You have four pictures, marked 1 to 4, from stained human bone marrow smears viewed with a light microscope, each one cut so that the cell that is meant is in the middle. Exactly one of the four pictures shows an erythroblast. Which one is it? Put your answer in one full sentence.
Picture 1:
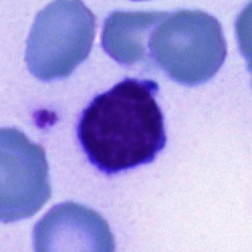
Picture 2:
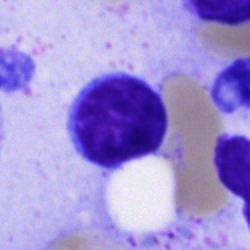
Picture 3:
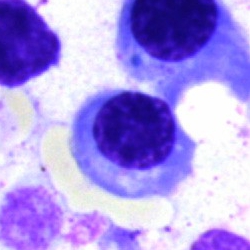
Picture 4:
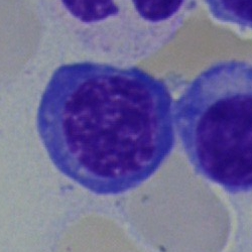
It is picture 3 that shows the erythroblast.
